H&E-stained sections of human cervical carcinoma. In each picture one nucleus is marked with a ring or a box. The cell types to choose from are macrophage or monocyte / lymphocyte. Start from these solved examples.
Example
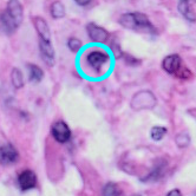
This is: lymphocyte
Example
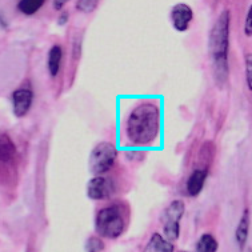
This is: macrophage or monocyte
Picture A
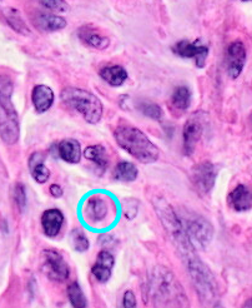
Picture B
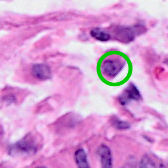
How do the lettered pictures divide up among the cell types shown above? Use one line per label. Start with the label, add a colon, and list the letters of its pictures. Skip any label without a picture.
macrophage or monocyte: B
lymphocyte: A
